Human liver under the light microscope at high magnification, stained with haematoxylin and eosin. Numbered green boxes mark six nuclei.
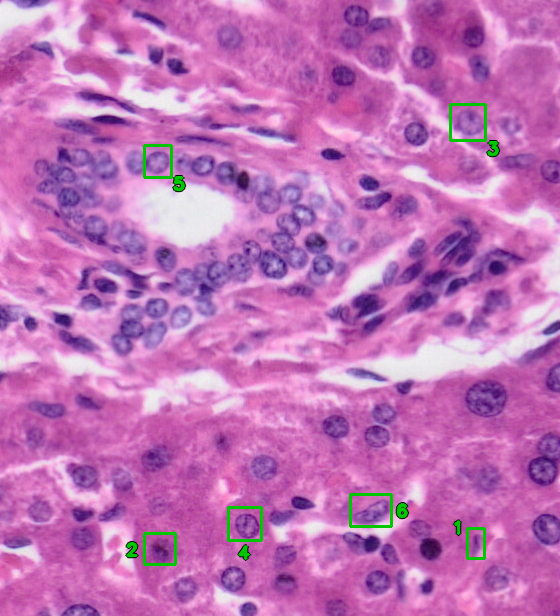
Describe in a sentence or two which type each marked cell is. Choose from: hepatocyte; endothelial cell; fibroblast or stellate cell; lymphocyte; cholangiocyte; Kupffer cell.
Cell 1 is an endothelial cell. Cells 2, 3 and 4 are hepatocytes. Cell 5 is a cholangiocyte. Cell 6 is a Kupffer cell.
